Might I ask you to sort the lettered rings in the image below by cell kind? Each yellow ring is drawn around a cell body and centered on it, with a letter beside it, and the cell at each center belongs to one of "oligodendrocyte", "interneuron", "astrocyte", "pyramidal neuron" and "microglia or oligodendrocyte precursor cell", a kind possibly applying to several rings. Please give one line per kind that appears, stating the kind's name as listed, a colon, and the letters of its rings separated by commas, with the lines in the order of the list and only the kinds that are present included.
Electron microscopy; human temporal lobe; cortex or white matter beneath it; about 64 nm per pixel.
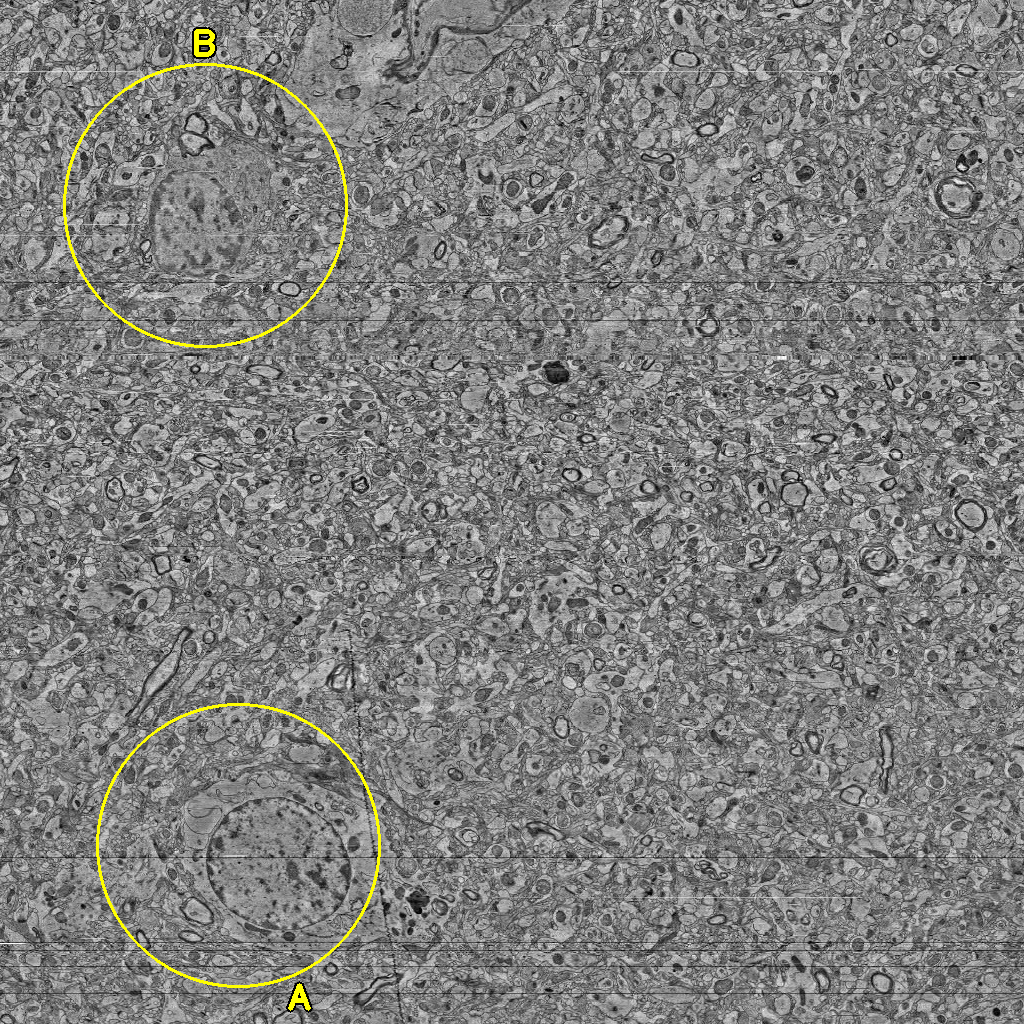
oligodendrocyte: B
astrocyte: A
